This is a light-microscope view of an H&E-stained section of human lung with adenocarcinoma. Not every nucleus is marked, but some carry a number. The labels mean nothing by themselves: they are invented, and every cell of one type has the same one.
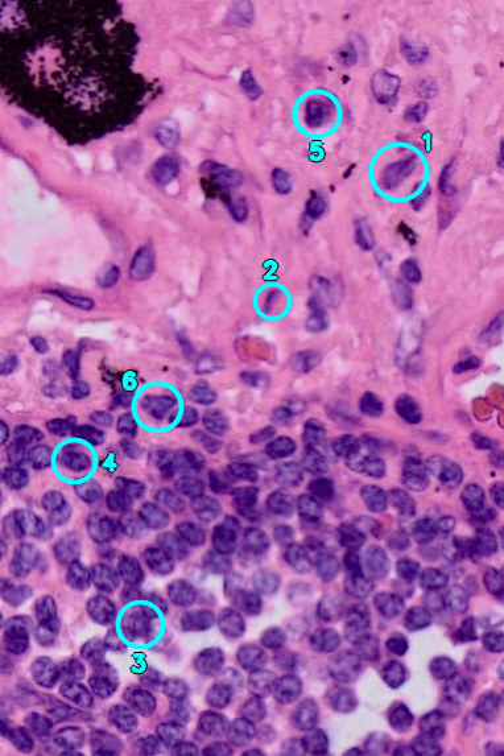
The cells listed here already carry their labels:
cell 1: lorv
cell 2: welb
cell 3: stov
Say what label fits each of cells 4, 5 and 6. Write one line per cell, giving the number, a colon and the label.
4: stov
5: lorv
6: stov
